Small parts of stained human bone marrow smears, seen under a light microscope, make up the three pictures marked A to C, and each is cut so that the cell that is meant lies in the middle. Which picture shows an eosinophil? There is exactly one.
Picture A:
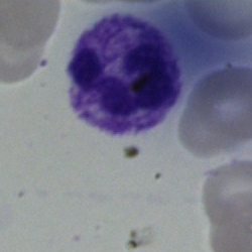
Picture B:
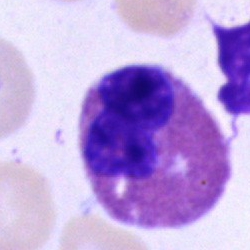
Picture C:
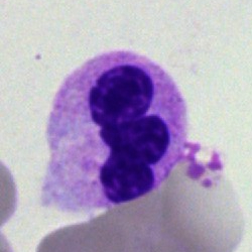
B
